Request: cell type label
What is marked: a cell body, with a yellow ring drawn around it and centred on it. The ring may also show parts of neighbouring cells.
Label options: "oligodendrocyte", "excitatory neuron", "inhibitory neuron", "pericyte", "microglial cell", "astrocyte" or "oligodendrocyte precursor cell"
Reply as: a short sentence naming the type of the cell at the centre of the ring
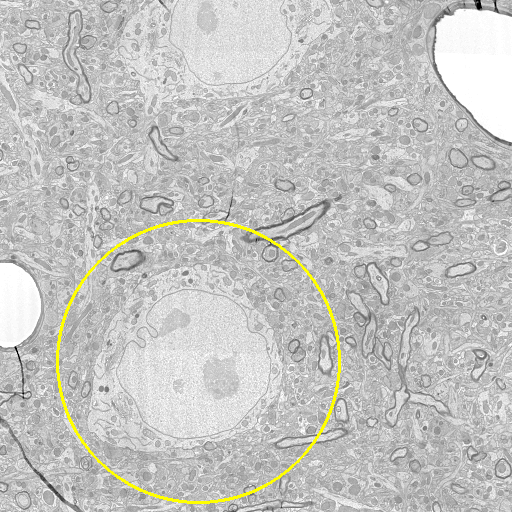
The marked cell body is that of an excitatory neuron.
